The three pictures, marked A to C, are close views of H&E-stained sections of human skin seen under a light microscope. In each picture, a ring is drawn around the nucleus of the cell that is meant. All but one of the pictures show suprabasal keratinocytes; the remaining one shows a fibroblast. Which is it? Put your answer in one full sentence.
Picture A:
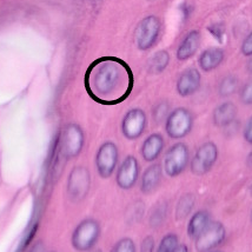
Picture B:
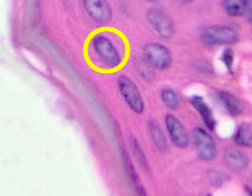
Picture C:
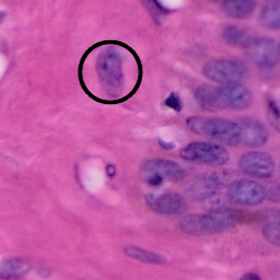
It is picture C that shows the fibroblast.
